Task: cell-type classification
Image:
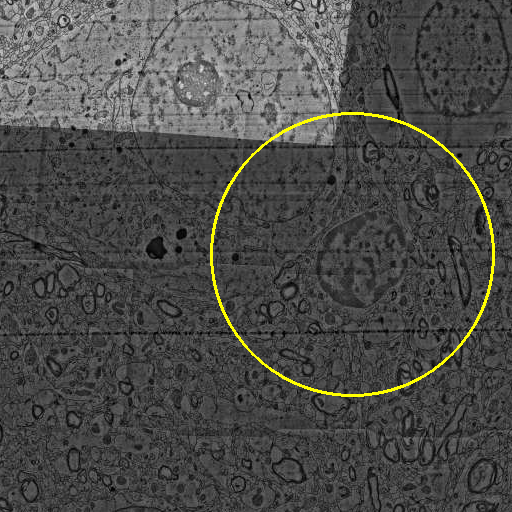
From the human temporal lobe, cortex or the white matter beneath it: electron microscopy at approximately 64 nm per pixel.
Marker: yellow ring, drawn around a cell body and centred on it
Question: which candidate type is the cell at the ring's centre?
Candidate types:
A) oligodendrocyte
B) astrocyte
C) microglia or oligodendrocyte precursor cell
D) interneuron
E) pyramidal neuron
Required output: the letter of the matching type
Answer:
C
